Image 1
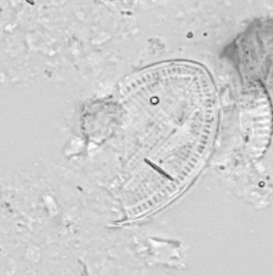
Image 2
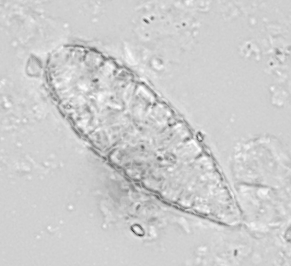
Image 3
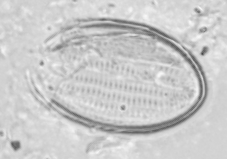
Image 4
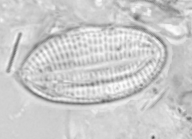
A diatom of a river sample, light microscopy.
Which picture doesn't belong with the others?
Picture 2.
